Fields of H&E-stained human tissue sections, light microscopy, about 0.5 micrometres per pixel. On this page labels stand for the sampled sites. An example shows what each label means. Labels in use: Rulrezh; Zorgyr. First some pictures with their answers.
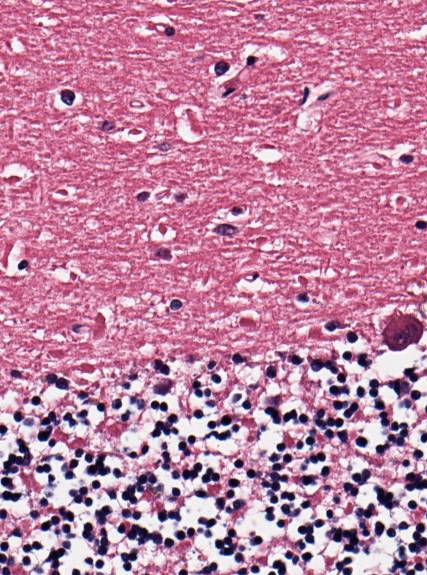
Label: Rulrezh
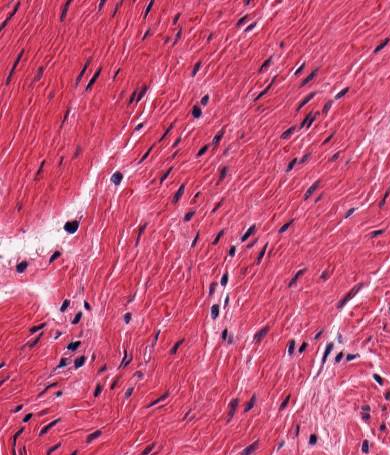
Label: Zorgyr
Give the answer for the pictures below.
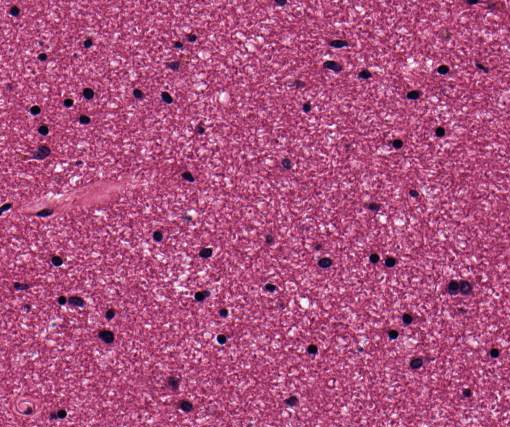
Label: Rulrezh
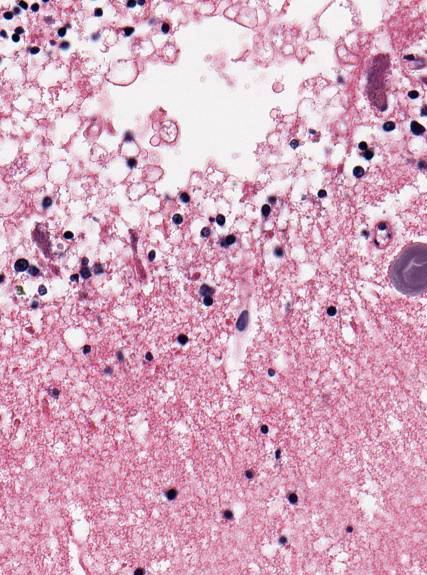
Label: Rulrezh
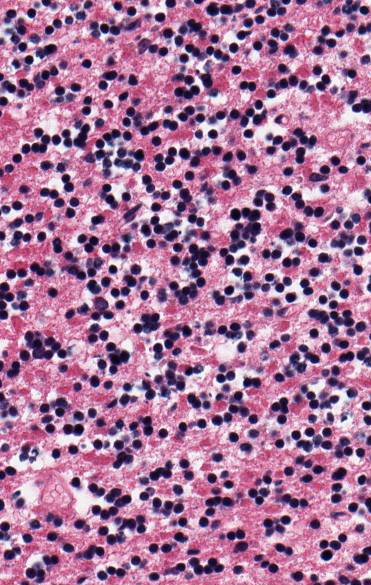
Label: Rulrezh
